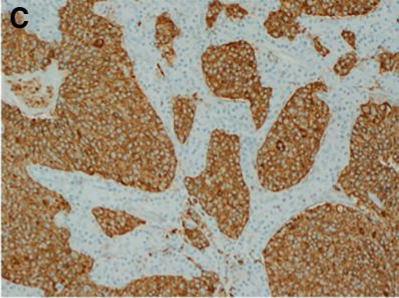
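The brown colour fills the cytoplasm of the tumor cells, while their nuclei show as small pale blue dots. The intervening tissue between the nests remains unstained and pale blue.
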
